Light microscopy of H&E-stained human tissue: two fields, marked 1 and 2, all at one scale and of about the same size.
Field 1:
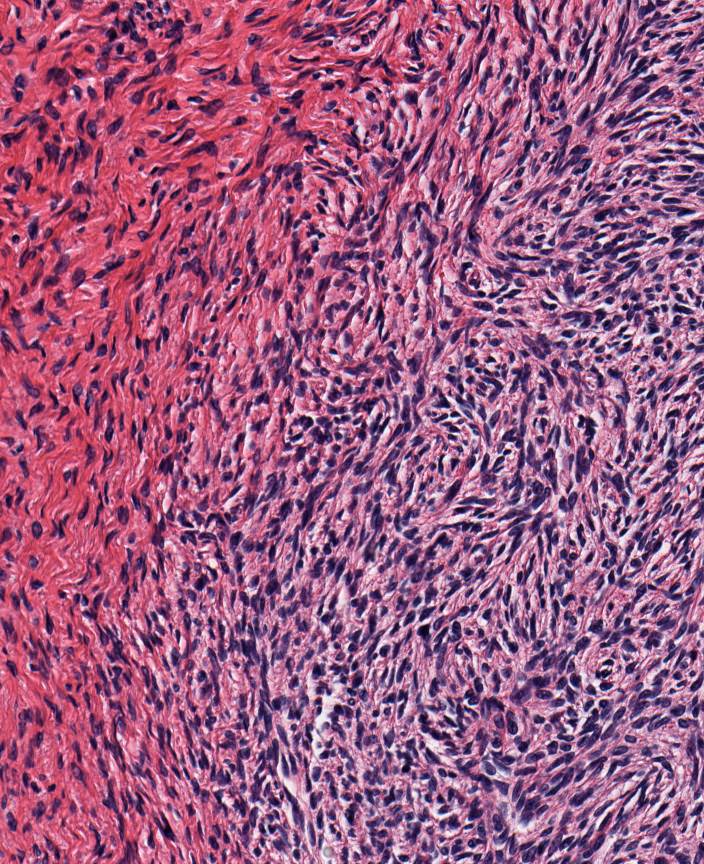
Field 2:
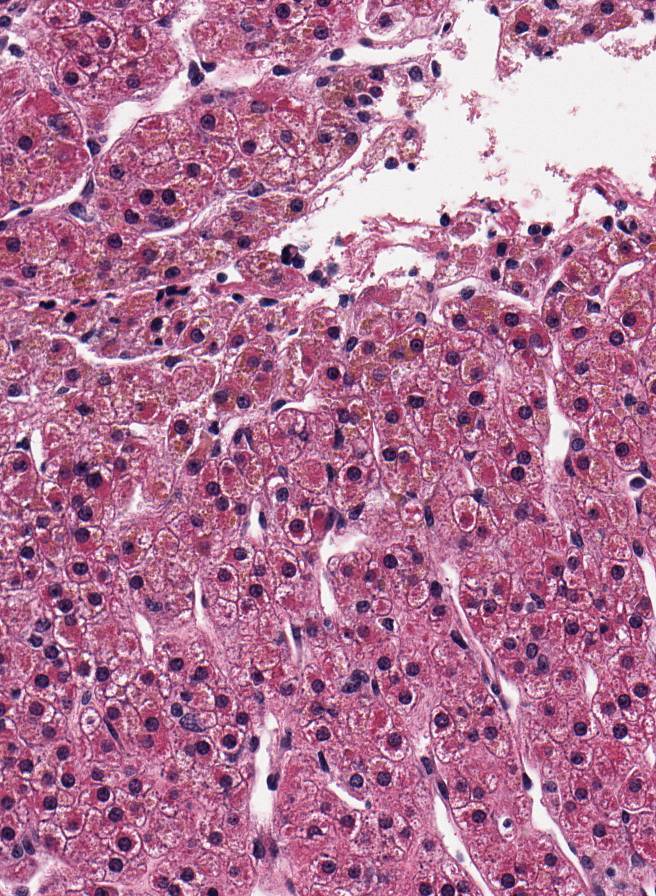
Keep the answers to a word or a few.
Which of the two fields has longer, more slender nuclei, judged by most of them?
1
